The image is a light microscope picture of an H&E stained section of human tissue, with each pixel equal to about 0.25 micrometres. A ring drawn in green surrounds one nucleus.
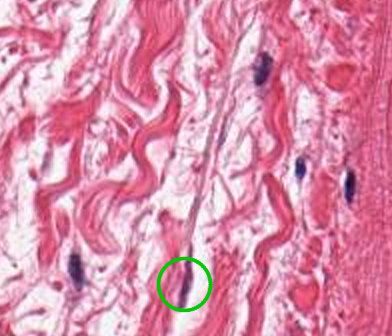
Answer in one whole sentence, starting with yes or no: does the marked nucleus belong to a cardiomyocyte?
No, the marked nucleus does not form part of a cardiomyocyte, being part of a supporting cell.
